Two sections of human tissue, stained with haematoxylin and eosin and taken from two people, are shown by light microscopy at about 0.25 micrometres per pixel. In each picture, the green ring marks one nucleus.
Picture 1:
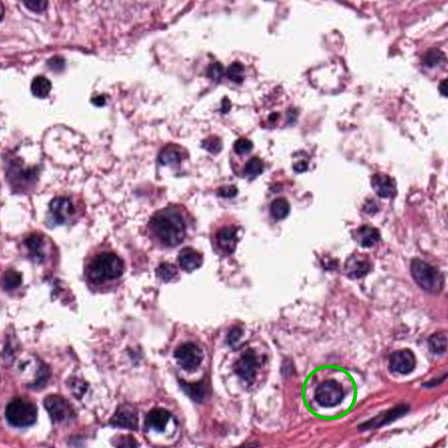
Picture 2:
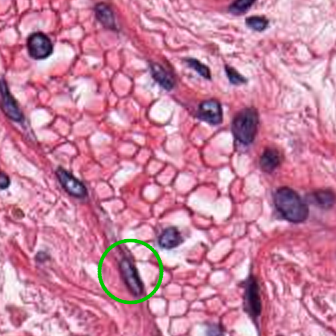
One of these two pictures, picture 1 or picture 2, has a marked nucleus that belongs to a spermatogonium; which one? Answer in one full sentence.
The marked nucleus in picture 1 comes from a spermatogonium.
